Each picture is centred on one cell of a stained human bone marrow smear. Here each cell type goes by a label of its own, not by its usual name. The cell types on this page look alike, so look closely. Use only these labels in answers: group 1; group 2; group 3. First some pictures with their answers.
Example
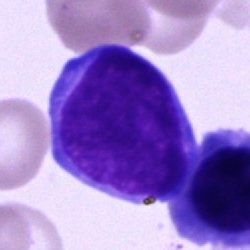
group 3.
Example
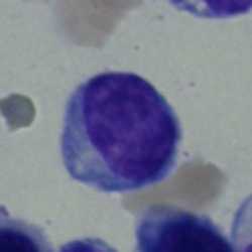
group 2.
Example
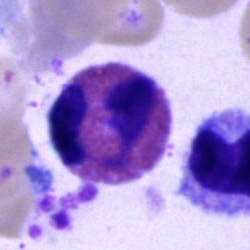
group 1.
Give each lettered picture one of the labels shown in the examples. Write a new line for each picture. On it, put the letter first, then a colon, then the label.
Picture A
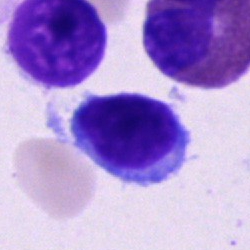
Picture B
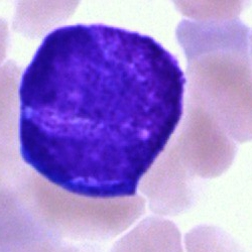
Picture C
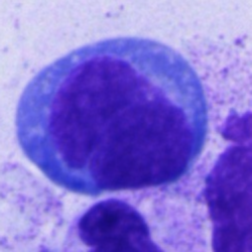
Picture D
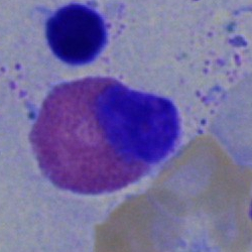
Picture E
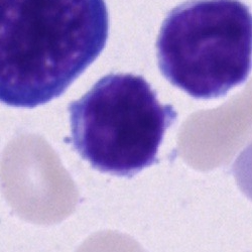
A: group 2.
B: group 3.
C: group 3.
D: group 1.
E: group 2.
